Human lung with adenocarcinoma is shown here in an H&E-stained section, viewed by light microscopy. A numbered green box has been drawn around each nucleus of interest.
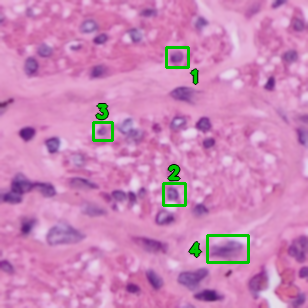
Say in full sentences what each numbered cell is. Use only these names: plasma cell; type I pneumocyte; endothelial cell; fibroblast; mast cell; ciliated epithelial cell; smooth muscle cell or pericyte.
Cell 1 is a smooth muscle cell or pericyte, cell 2 is a smooth muscle cell or pericyte, cell 3 is a smooth muscle cell or pericyte and cell 4 is a fibroblast.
